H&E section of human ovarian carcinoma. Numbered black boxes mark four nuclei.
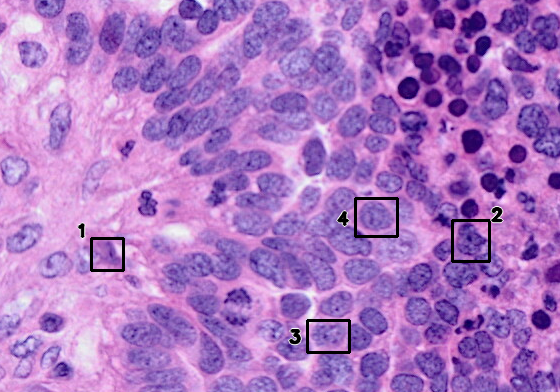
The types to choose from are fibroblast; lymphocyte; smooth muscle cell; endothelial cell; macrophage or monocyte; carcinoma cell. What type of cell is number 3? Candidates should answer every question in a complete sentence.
Numbered cell 3 is a carcinoma cell in this tissue section.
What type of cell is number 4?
The expected answer is that cell 4 is a carcinoma cell.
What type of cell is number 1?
The cell identified by the number 1 is a fibroblast.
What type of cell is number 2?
The cell pointed out by number 2 is a carcinoma cell.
